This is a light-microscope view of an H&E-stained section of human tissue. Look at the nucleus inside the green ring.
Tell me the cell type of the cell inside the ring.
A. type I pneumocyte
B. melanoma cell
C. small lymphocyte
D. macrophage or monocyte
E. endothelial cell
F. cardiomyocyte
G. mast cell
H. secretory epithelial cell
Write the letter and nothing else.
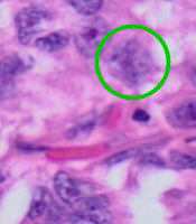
B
